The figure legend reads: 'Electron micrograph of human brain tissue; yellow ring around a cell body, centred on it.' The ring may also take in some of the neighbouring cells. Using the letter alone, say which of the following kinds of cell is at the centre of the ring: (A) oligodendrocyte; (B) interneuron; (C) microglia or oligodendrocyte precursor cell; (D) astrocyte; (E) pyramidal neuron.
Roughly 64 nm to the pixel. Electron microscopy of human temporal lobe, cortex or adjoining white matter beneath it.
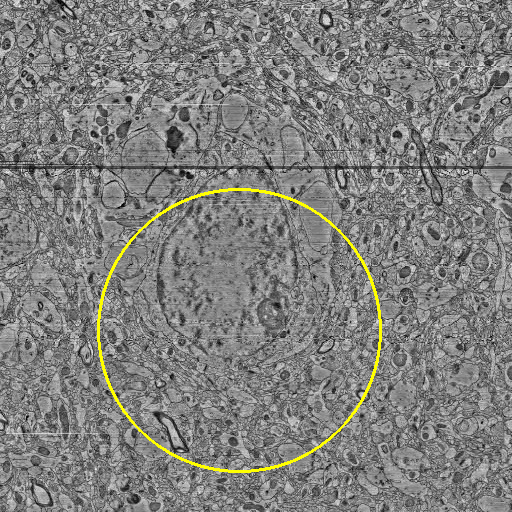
B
